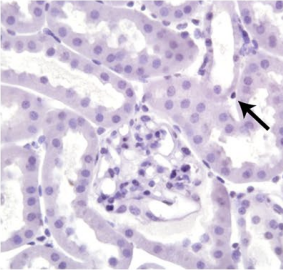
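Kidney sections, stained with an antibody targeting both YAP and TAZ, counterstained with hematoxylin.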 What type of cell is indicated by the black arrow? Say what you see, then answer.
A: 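The arrow points to a small cell in the space between tubules. The marked cell lies outside the tubular epithelium. On this evidence: interstitial cells.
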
